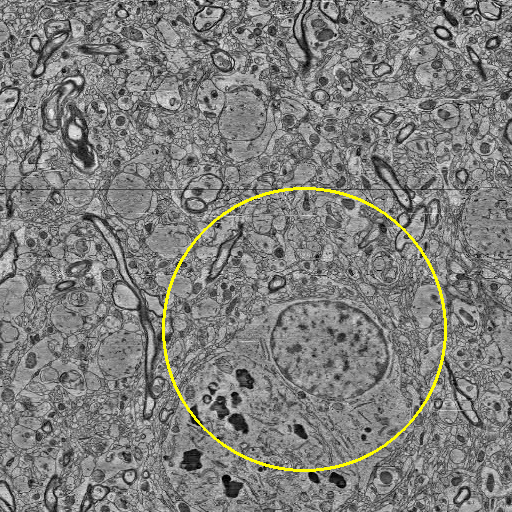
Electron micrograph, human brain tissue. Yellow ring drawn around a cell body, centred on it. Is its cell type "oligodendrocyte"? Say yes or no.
no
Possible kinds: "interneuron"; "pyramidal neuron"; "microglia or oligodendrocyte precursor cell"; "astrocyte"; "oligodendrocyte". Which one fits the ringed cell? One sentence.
The cell in question here is a microglial cell or oligodendrocyte precursor cell.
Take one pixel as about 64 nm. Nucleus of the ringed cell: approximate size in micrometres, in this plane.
The nucleus comes to roughly 7 micrometres across in this plane.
